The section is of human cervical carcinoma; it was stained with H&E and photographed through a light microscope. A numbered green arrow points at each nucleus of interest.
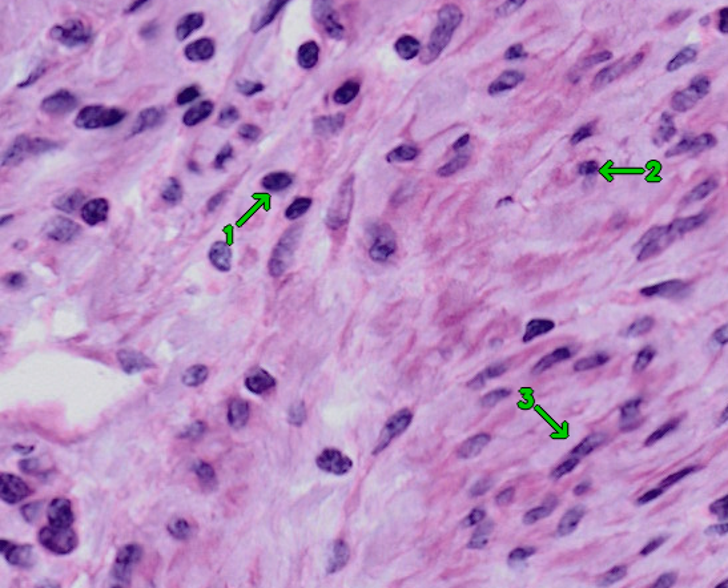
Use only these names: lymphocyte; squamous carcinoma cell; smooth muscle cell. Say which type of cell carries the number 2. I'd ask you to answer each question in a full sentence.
The marked cell with the number 2 is recognised as a smooth muscle cell.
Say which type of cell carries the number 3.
The cell numbered 3 has been identified as a smooth muscle cell.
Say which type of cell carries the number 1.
Cell 1, as marked in the section, is a lymphocyte.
